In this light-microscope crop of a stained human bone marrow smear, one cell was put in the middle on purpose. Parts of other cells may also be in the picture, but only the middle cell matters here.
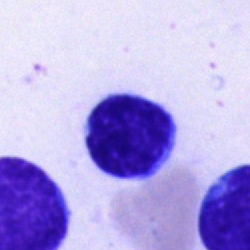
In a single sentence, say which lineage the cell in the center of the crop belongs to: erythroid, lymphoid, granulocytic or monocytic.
The central cell originates in the lymphoid lineage.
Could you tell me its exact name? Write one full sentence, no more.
At the middle of the frame sits a lymphocyte.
